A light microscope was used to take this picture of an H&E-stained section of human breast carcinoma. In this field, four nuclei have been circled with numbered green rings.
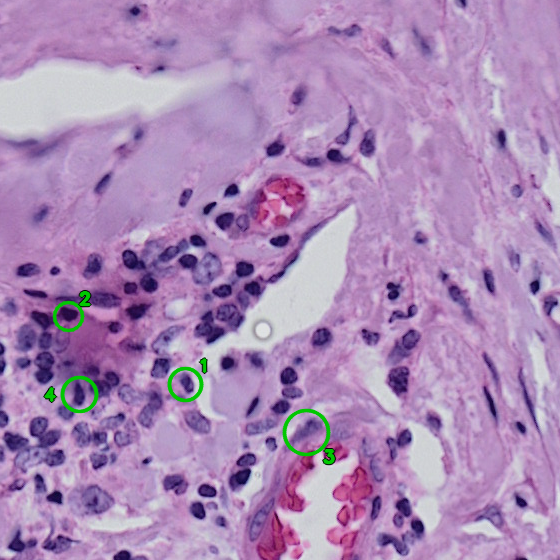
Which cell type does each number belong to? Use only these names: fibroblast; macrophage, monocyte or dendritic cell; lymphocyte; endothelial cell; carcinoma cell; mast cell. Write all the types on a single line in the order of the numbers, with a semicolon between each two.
lymphocyte; lymphocyte; endothelial cell; lymphocyte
